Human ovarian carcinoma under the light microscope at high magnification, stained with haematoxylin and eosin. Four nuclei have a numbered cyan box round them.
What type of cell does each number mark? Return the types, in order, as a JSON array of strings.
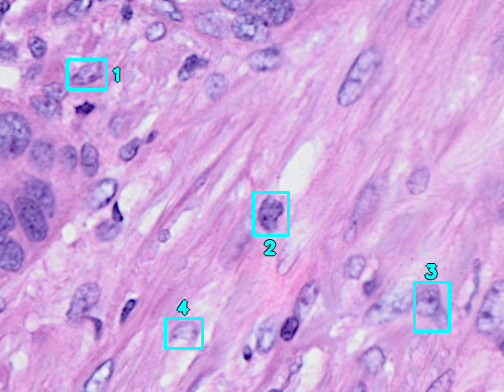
["fibroblast", "macrophage or monocyte", "fibroblast", "fibroblast"]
